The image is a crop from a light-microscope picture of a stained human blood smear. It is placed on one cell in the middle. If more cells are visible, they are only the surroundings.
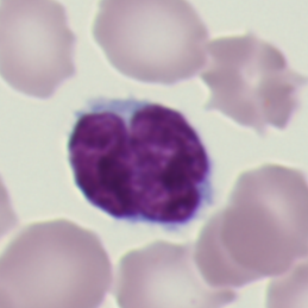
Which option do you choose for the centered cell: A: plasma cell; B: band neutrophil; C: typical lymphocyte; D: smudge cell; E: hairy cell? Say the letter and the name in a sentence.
The correct option is E, as the central cell is a hairy cell.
